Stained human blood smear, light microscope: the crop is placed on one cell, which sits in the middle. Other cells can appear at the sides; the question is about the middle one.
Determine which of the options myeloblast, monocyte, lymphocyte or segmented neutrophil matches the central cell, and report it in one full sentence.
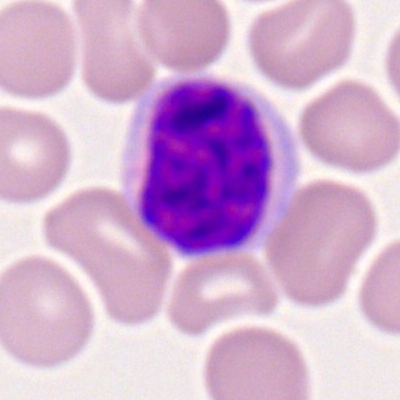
In this smear crop, the middle cell is a lymphocyte.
